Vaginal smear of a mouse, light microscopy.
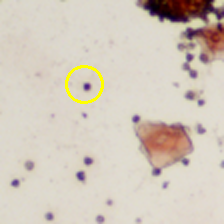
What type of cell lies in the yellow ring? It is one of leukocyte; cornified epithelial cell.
The ringed cell is a leukocyte.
